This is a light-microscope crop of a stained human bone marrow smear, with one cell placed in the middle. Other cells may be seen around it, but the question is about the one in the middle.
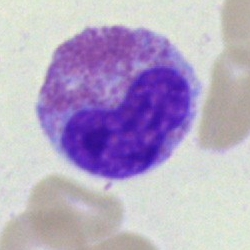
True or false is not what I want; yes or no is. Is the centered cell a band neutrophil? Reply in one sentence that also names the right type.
No, the one in the center is not a band neutrophil; it is an eosinophil.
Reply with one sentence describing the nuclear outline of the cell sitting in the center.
Its nucleus is compact and single, with a round, oval or kidney-shaped form.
